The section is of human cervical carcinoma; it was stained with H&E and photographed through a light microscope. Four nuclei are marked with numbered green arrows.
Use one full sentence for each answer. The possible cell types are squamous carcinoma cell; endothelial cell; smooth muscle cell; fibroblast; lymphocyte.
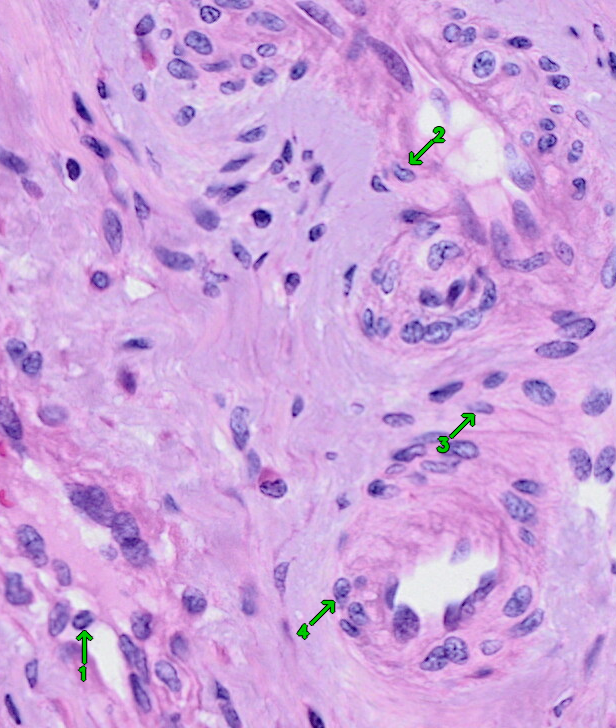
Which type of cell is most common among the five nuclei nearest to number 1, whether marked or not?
The majority of the five nuclei closest to number 1 belong to endothelial cells.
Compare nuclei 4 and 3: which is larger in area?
Nucleus 4 is the larger one, covering about 1.5 times the area of nucleus 3.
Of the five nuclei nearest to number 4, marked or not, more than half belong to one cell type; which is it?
Smooth muscle cells account for more than half of the five nuclei nearest to number 4.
